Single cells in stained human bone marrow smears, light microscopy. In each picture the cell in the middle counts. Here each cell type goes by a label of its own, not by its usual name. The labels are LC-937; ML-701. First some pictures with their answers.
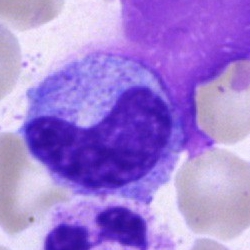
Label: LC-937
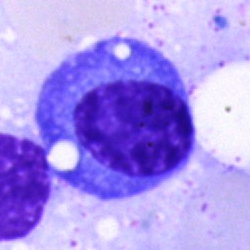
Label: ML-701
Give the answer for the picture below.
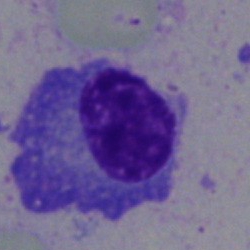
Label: ML-701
